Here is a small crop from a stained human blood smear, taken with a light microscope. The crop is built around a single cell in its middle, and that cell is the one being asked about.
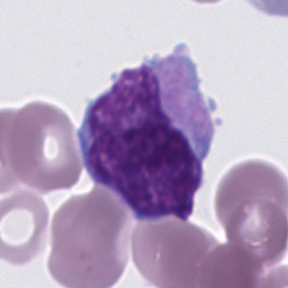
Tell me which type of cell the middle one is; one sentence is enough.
What the crop centres on is an atypical promyelocyte.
